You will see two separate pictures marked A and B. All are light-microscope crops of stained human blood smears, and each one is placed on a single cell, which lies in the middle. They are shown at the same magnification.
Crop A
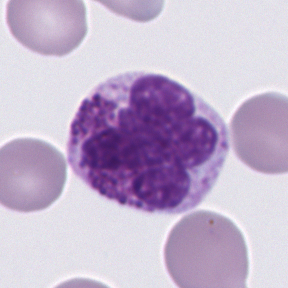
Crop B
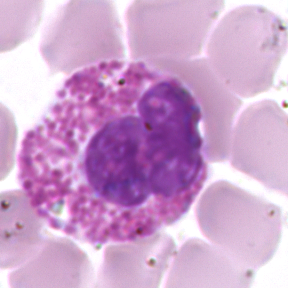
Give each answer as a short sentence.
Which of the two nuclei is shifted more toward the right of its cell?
It is the nucleus in crop B that lies further toward the right of its cell.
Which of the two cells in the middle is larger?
Larger is the cell in crop B, at roughly 1.5 times the area of the other.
